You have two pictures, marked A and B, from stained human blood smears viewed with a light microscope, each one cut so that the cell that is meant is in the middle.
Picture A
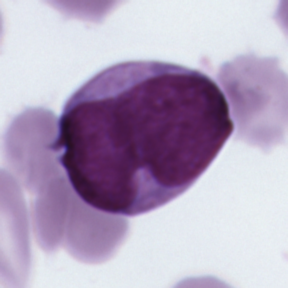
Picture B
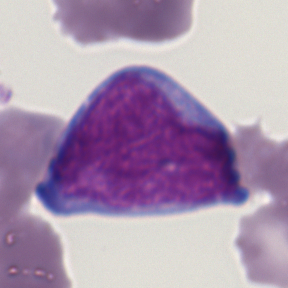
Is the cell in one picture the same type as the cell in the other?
yes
